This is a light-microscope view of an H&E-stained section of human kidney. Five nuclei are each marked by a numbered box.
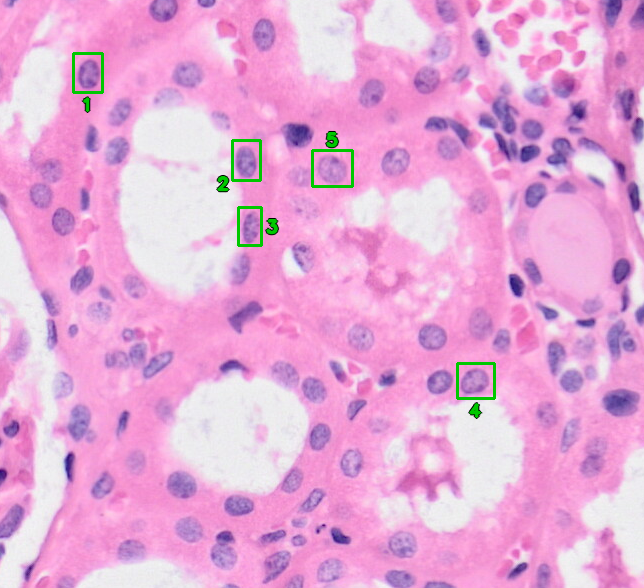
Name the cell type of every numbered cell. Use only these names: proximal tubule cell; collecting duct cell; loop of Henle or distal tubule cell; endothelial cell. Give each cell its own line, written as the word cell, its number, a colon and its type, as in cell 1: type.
cell 1: proximal tubule cell
cell 2: loop of Henle or distal tubule cell
cell 3: loop of Henle or distal tubule cell
cell 4: proximal tubule cell
cell 5: proximal tubule cell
